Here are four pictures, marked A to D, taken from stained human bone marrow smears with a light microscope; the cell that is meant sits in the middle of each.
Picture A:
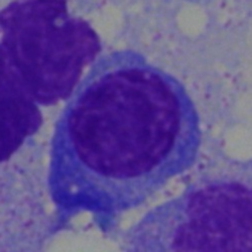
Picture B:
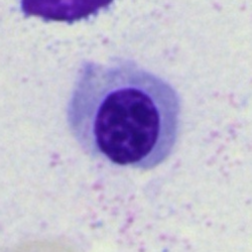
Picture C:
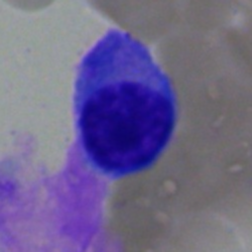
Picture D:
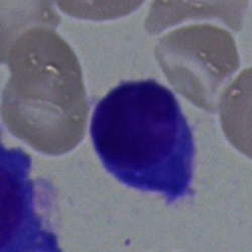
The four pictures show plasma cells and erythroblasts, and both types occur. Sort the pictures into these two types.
A: plasma cell
B: erythroblast
C: plasma cell
D: plasma cell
